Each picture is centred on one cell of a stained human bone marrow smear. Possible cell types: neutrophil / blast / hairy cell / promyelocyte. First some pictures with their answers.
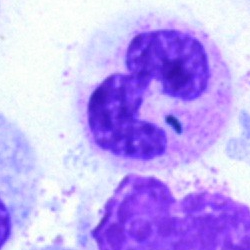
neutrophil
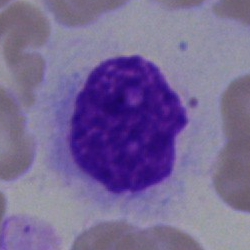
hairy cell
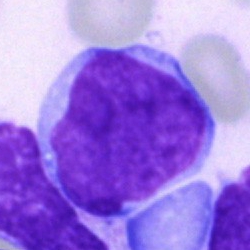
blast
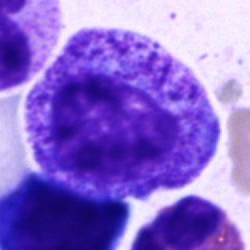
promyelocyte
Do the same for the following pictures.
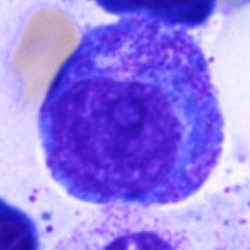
promyelocyte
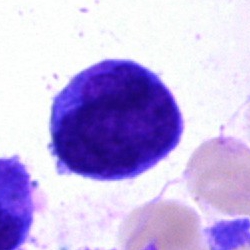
blast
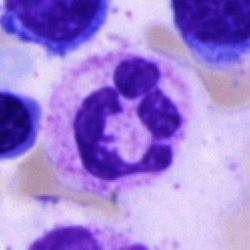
neutrophil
